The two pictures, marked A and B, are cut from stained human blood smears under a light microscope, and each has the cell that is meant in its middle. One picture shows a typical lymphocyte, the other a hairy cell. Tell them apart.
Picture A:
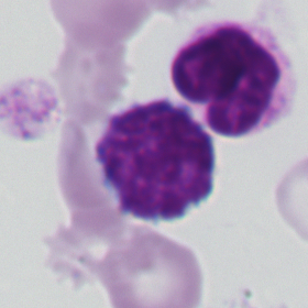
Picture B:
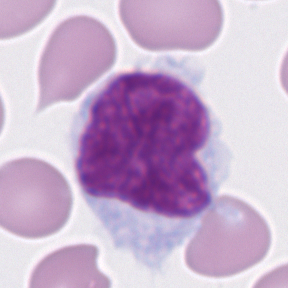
A: typical lymphocyte
B: hairy cell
